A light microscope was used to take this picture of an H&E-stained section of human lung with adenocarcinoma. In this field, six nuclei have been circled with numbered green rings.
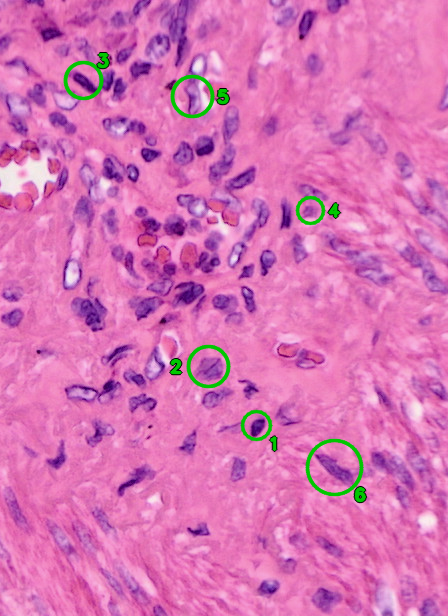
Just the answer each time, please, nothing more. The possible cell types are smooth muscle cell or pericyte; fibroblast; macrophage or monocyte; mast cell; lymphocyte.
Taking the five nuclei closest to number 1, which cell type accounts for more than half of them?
fibroblast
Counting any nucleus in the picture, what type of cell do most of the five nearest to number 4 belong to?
smooth muscle cell or pericyte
